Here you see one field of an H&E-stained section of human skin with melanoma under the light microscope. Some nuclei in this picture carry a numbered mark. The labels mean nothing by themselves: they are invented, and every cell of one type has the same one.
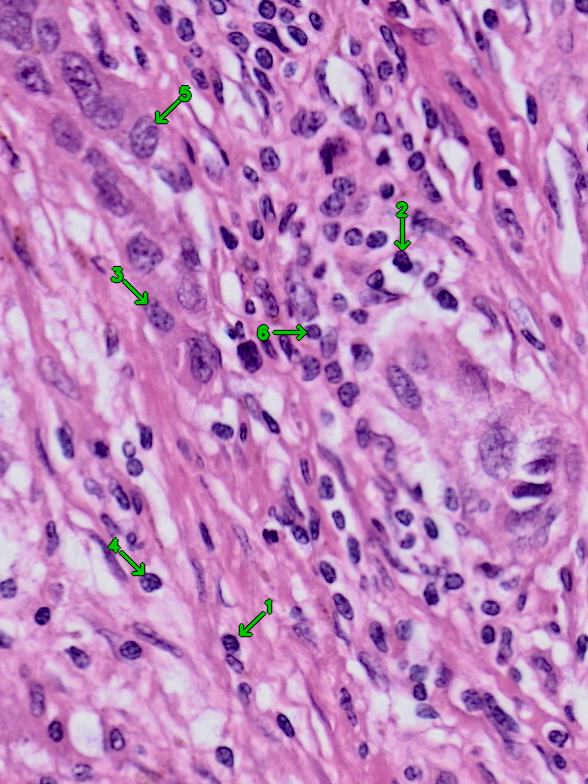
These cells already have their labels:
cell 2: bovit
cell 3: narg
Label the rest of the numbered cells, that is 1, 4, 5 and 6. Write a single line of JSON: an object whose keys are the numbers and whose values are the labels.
{"1": "bovit", "4": "bovit", "5": "narg", "6": "bovit"}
